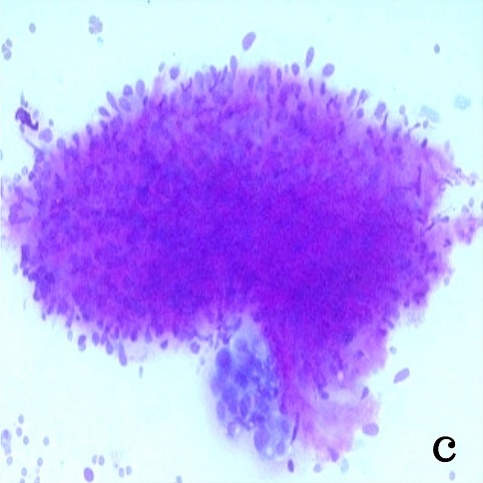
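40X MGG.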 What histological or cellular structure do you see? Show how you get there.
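A large fragment of magenta-purple matrix packed with many oval nuclei. Loose oval bare nuclei scattered around the fragment.
Answer: cellular stromal fragment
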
